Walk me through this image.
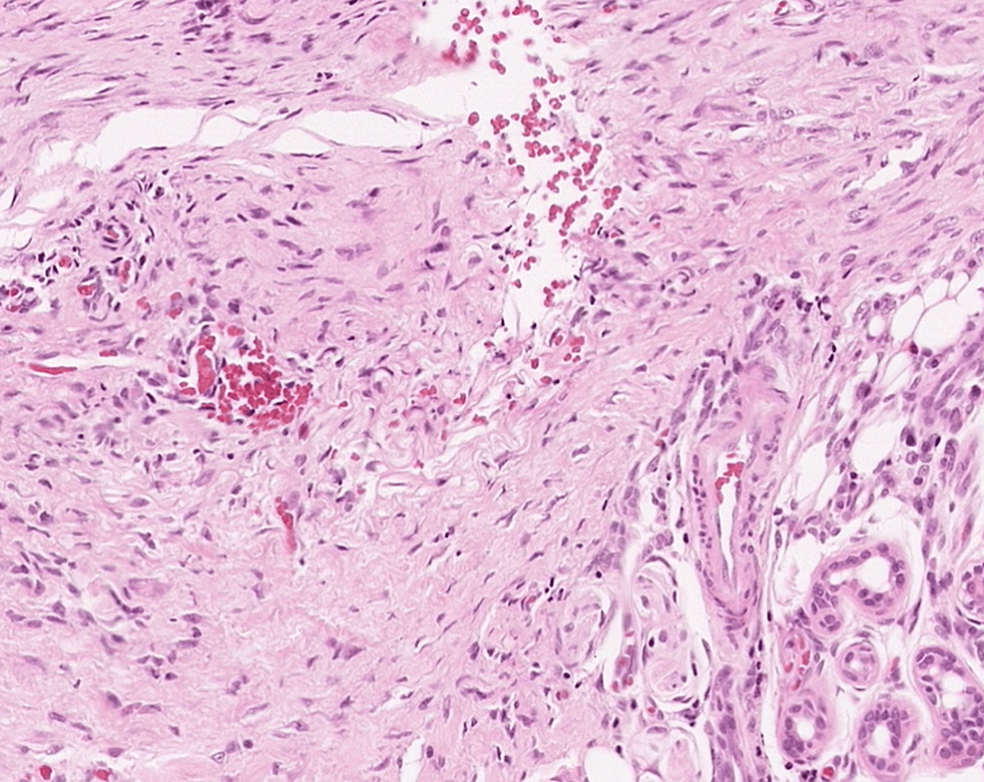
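This is a cellular proliferation in connective tissue made of spindle-shaped and plump oval cells, resembling immature fibroblasts and histiocytes, set in a pale pink fibrous stroma. At the lower right lie small glandular tubules lined by cuboidal cells, with a few fat cells above them.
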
